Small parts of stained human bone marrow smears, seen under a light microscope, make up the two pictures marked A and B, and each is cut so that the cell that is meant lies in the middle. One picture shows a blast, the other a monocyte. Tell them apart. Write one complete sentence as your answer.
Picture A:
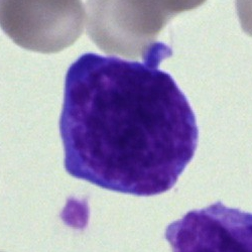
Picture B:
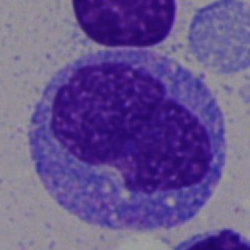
Picture A is of a blast, and picture B is of a monocyte.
